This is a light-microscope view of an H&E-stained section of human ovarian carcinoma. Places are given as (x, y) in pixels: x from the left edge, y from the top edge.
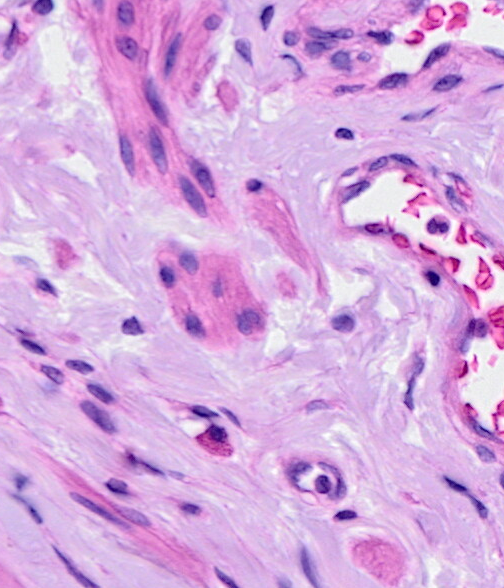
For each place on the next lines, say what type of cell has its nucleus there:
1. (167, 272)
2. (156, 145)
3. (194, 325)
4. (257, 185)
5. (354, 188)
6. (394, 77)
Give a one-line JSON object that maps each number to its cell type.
{"1": "smooth muscle cell", "2": "smooth muscle cell", "3": "smooth muscle cell", "4": "smooth muscle cell", "5": "endothelial cell", "6": "endothelial cell"}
